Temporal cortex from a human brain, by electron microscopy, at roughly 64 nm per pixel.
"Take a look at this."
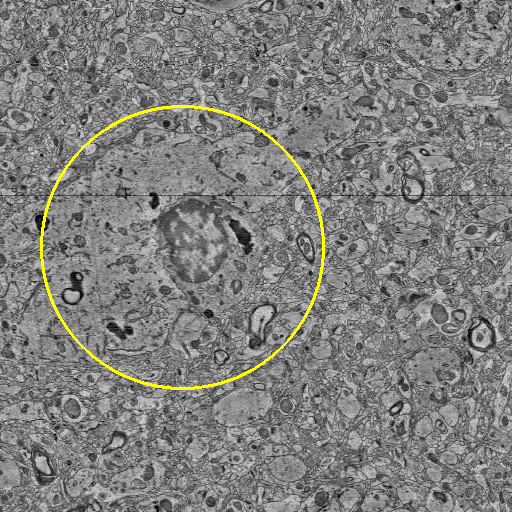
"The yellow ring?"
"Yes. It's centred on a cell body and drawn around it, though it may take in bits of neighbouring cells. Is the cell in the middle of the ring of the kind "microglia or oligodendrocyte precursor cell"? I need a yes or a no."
No, it is of another kind.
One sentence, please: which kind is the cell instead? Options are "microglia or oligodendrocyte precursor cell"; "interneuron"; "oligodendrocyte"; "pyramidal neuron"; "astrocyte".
Instead, the ring surrounds an oligodendrocyte in this picture.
